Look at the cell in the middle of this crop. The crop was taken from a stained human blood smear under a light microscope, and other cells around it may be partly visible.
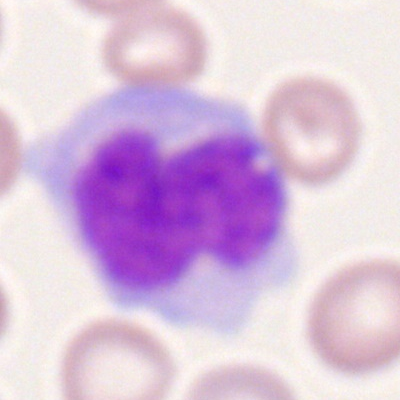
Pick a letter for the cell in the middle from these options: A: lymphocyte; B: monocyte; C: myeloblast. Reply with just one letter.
B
